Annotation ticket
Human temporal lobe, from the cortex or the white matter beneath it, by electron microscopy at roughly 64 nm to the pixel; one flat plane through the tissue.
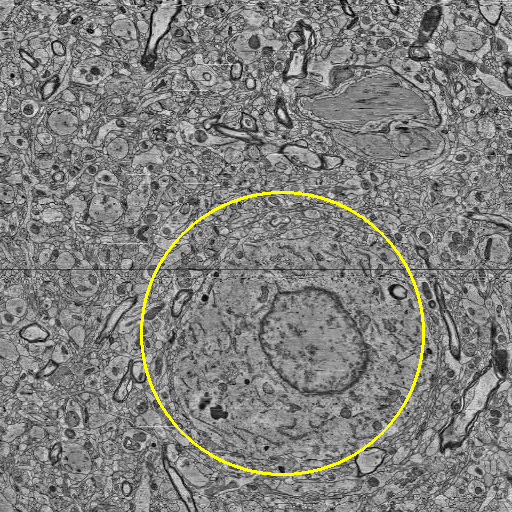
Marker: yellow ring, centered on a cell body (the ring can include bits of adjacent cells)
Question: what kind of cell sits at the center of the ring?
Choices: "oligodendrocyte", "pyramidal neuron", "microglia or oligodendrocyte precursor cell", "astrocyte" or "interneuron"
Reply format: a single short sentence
The ring is centered on a pyramidal neuron.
